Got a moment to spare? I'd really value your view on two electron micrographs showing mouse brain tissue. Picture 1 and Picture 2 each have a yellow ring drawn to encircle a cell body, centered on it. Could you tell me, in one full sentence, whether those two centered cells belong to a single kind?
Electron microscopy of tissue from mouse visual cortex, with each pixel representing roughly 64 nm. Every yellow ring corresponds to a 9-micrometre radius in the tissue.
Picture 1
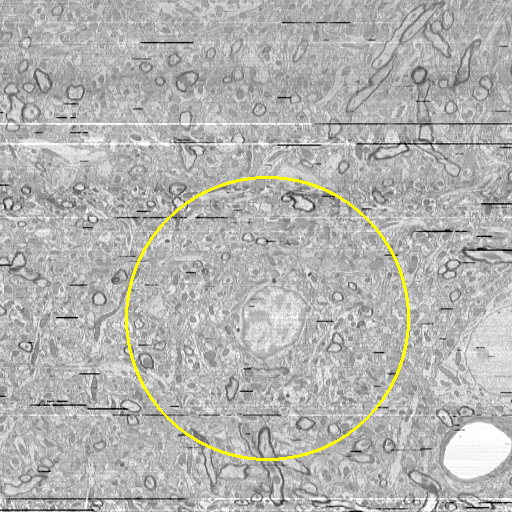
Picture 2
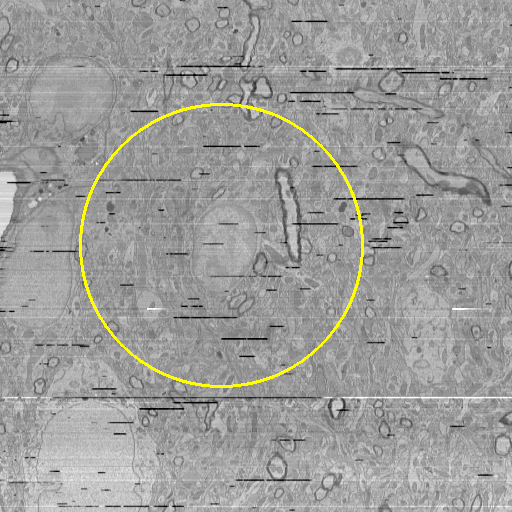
Yes, the two centered cells in Picture 1 and Picture 2 are of a single kind.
